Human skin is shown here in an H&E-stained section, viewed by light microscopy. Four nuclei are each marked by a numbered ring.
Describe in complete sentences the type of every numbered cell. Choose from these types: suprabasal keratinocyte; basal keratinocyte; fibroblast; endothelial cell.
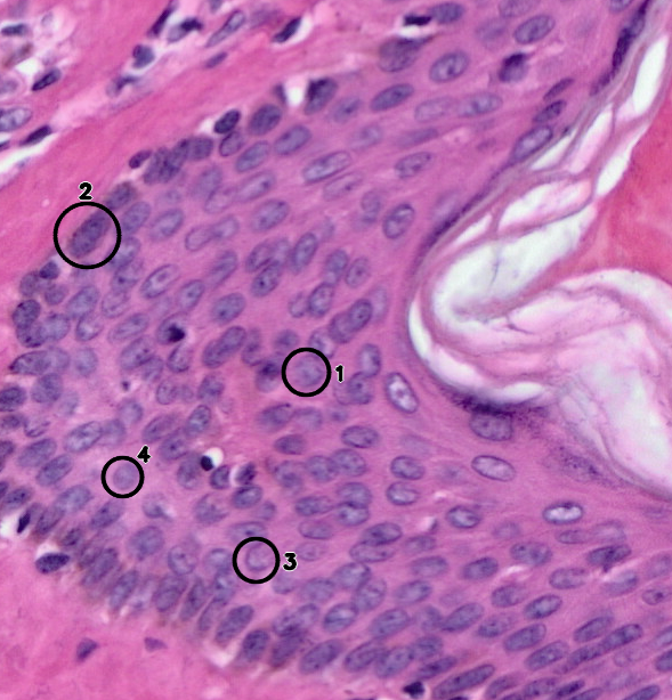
Cells 1, 3 and 4 are suprabasal keratinocytes. Cell 2 is a basal keratinocyte.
